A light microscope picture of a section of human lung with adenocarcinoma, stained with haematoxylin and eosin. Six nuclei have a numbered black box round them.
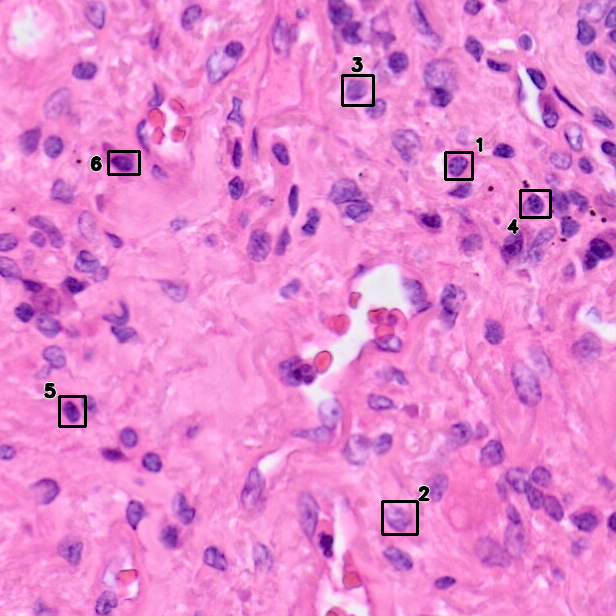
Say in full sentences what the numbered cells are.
Cell 1 is a mast cell, cell 2 is a fibroblast, cell 3 is a lymphocyte, cell 4 is a lymphocyte, cell 5 is a mast cell and cell 6 is a plasma cell.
